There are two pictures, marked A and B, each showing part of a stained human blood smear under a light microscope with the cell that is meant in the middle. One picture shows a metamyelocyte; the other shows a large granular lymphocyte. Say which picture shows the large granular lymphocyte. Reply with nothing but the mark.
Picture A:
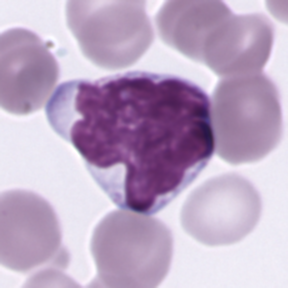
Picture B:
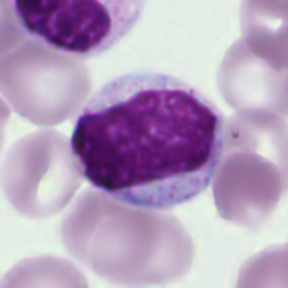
A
